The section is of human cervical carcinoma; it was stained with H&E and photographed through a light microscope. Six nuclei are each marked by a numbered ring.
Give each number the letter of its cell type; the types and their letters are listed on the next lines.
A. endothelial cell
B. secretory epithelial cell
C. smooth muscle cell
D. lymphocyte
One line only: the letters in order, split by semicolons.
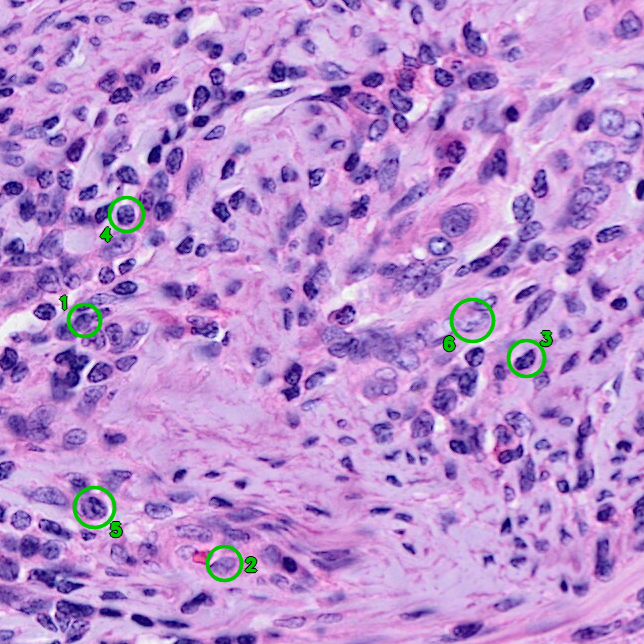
D; A; D; D; D; A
